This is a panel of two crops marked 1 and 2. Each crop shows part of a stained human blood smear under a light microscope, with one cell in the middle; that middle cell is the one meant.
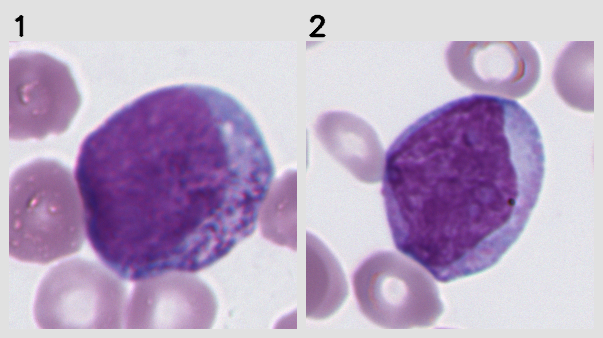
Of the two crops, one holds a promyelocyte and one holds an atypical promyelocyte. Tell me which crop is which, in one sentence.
The cell in crop 1 is a promyelocyte, whereas the cell in crop 2 is an atypical promyelocyte.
